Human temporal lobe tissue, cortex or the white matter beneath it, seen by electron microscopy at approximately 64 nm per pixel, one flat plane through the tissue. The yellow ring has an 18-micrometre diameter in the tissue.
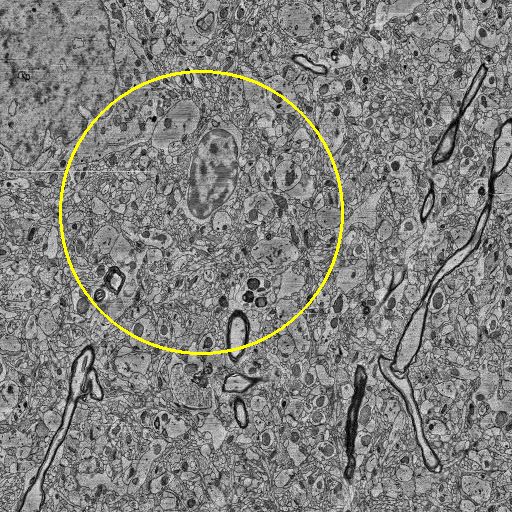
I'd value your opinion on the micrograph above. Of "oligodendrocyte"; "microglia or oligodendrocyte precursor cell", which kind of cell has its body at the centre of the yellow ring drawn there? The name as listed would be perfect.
microglia or oligodendrocyte precursor cell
